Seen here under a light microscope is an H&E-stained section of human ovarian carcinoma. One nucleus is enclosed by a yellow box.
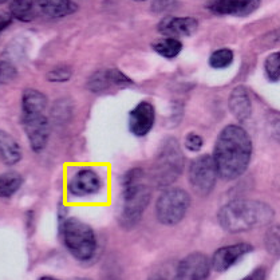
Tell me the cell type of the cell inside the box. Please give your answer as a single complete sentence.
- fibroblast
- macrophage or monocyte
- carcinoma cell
Placed in its cell category, the cell inside the box is a macrophage or monocyte.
